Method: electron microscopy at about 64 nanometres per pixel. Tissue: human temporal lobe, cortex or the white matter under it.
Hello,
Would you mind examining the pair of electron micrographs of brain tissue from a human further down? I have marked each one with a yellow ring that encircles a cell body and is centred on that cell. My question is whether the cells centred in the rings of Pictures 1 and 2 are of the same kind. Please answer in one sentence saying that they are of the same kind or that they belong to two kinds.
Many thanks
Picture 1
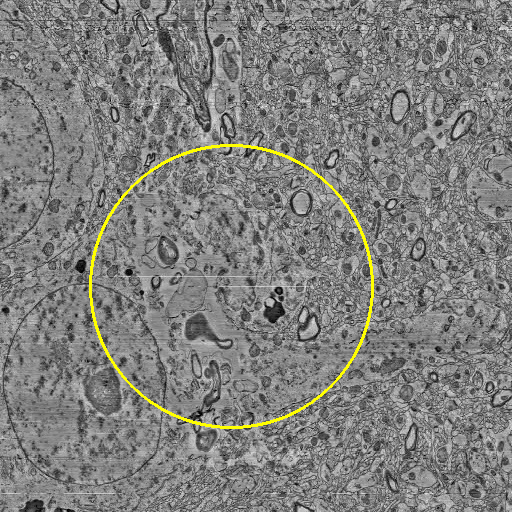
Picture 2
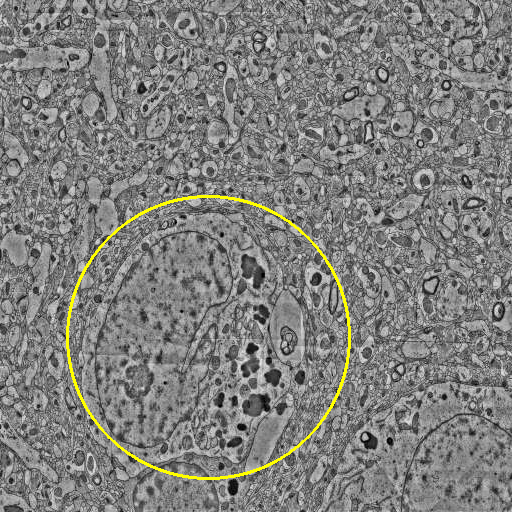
In Pictures 1 and 2, the cells at the heart of the rings are of the same kind.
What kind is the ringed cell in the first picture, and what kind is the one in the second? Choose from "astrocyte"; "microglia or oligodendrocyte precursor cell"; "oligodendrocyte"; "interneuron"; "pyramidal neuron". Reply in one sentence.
Each cell at the centre of a ring is an interneuron.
